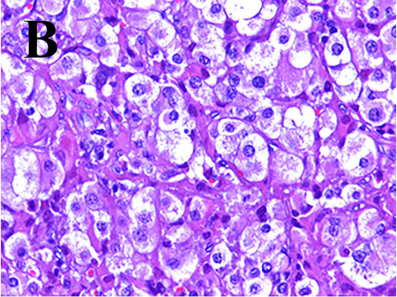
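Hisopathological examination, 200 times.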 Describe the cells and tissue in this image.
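Sheets of large tumour cells are divided into small nests by delicate pink fibrous strands. The cells have abundant cytoplasm that looks pale and vacuolated, with pink granular material around clear spaces. Cell borders are distinct. Small, dark, elongated nuclei of stromal cells lie along the septa between the nests, and occasional red blood cells are seen.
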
